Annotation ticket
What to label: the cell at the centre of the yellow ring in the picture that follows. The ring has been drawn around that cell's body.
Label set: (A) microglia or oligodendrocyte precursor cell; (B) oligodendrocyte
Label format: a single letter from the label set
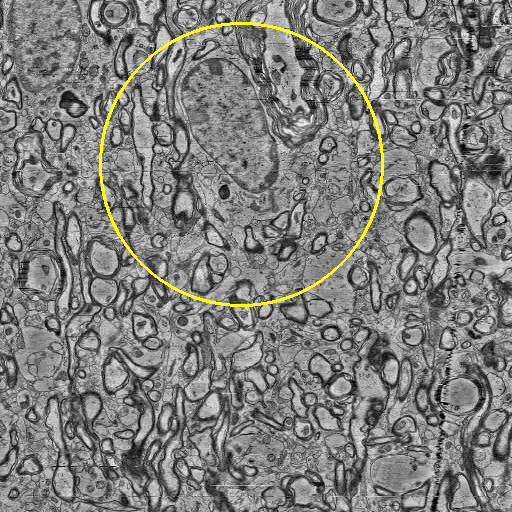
A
